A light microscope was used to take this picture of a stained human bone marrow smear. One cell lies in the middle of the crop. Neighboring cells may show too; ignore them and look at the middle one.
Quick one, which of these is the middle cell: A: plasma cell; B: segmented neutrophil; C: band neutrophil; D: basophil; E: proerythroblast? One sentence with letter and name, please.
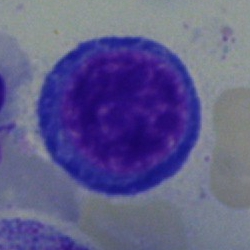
Option E is accurate; the centrally placed cell is a proerythroblast.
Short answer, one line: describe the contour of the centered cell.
The cell shows a smooth outline that lacks any surface projections.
